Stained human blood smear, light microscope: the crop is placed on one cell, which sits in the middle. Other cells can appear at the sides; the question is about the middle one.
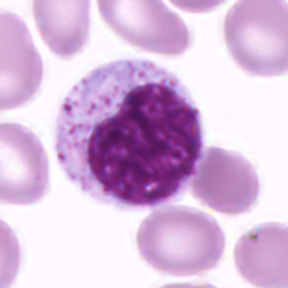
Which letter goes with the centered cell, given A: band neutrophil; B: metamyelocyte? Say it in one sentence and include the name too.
Since the middle cell is a metamyelocyte, option B is the right one.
